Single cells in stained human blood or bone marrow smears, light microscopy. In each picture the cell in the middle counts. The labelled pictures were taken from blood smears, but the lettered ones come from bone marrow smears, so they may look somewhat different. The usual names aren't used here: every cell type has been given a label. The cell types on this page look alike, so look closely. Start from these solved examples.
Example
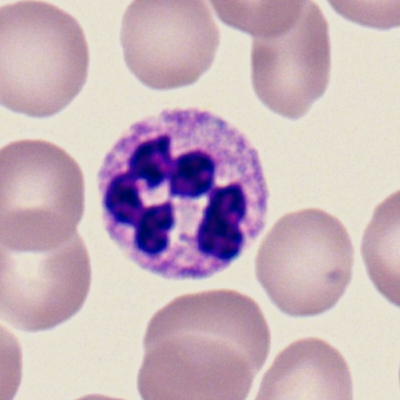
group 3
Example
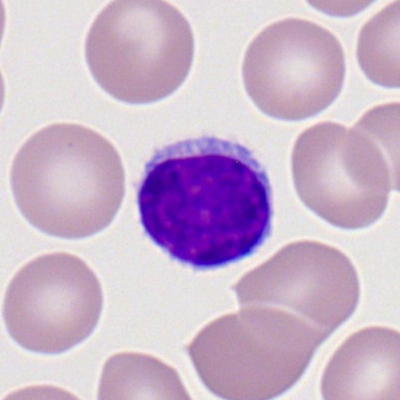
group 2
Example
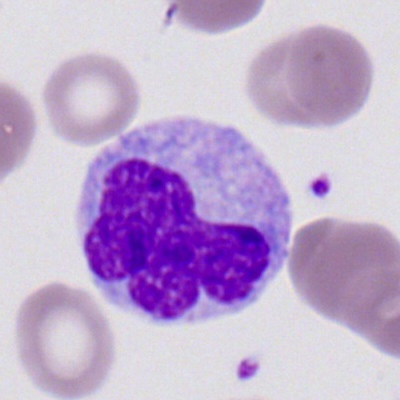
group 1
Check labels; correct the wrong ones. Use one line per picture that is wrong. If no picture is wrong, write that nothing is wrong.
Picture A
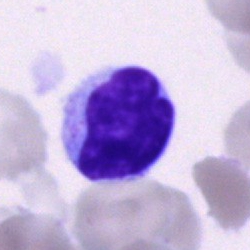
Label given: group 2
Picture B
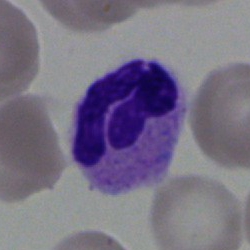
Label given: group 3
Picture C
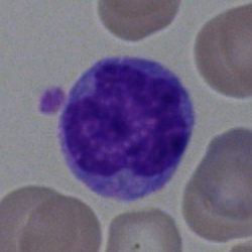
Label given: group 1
Every label is right.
